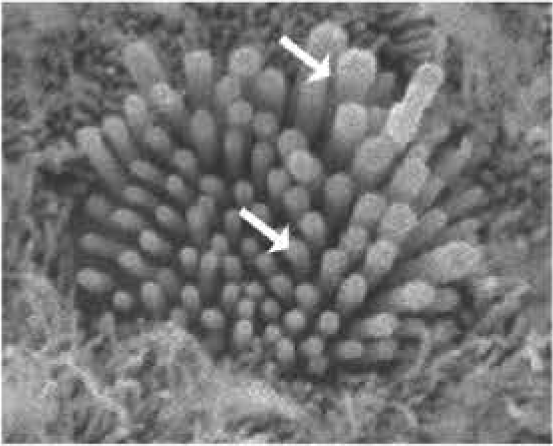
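Scanning electron micrograph of the apical surface of a hair cell, showing a dense stereociliary bundle. Many rod-like stereocilia with rounded tips are packed together, the taller ones toward the back and shorter, stubbier ones toward the front. Individual stereocilia vary in length across the bundle, and the surrounding surface carries short microvilli.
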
